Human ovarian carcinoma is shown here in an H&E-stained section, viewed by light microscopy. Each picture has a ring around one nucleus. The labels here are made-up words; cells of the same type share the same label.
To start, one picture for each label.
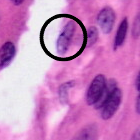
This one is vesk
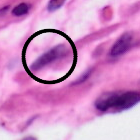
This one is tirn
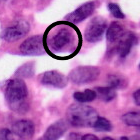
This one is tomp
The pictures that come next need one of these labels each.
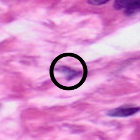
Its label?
tirn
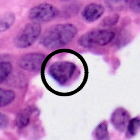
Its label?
tomp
